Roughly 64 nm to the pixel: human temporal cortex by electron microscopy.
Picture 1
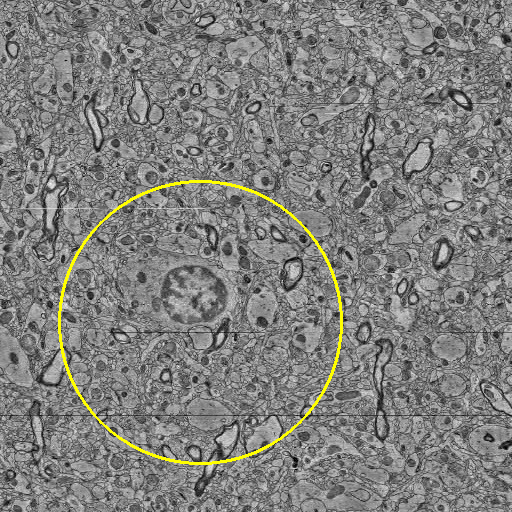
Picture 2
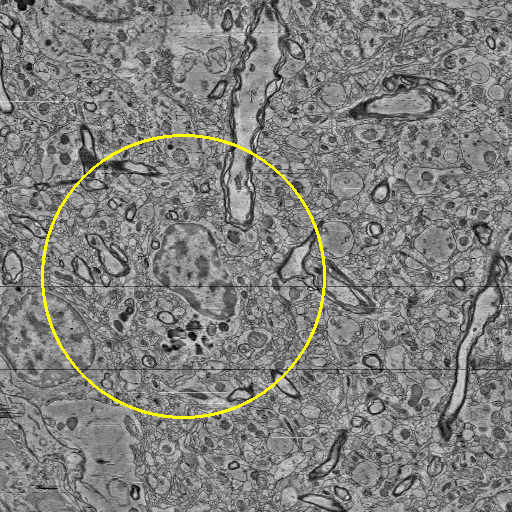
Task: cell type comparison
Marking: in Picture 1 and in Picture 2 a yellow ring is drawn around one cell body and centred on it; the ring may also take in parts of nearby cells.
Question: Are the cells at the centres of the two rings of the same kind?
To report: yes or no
no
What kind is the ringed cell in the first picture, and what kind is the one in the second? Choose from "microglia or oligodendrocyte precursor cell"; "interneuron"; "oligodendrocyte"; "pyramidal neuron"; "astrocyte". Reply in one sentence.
The first cell is an oligodendrocyte; the second is a microglial cell or oligodendrocyte precursor cell.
